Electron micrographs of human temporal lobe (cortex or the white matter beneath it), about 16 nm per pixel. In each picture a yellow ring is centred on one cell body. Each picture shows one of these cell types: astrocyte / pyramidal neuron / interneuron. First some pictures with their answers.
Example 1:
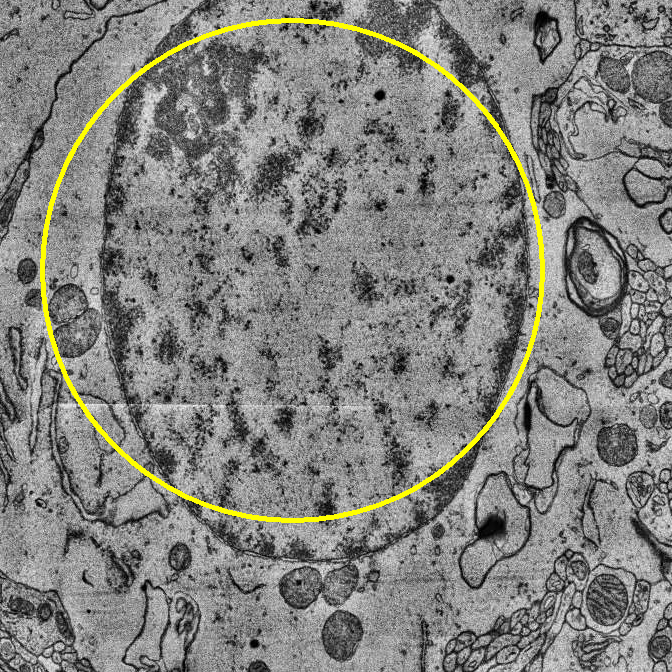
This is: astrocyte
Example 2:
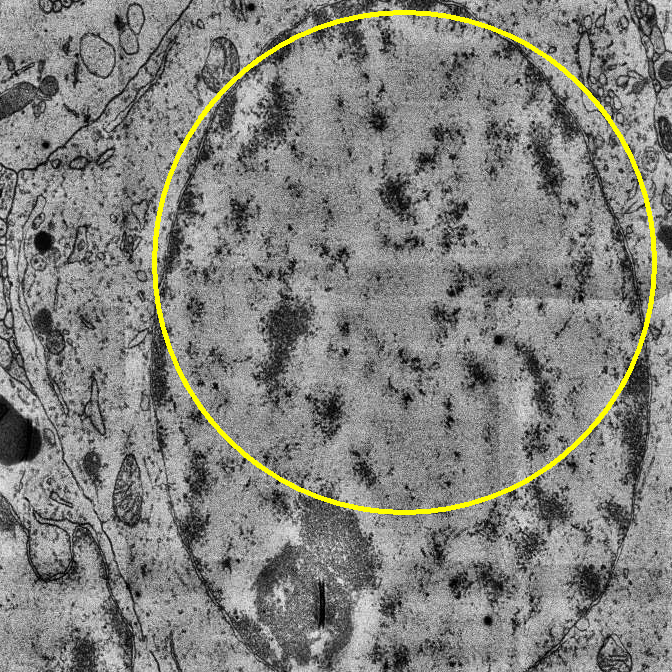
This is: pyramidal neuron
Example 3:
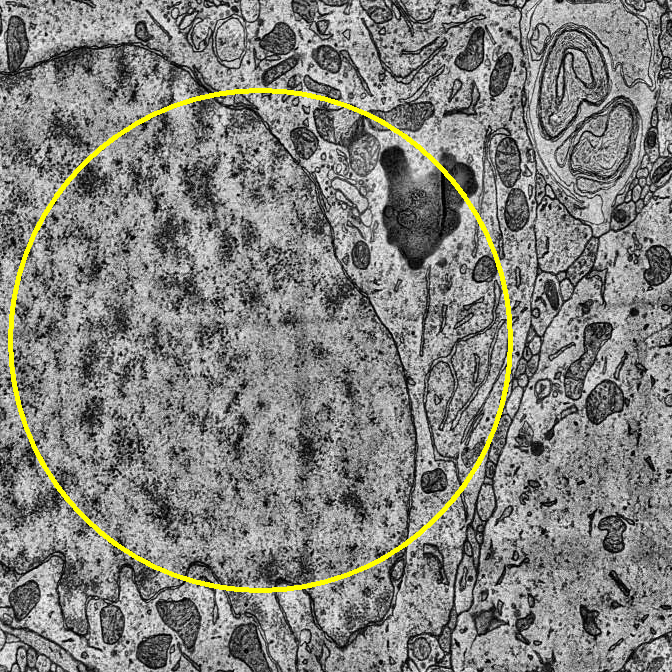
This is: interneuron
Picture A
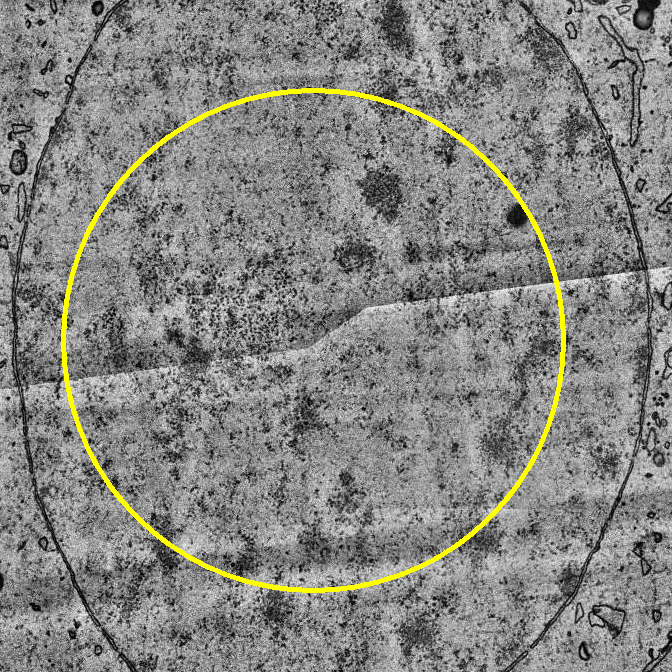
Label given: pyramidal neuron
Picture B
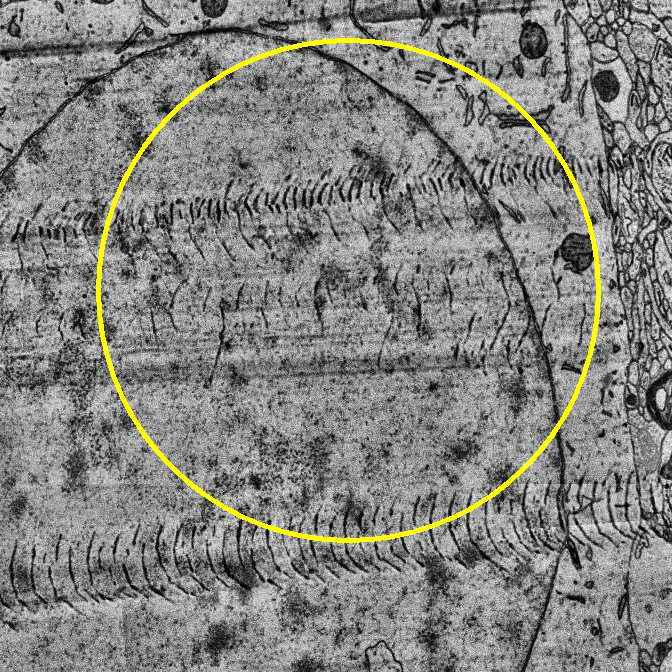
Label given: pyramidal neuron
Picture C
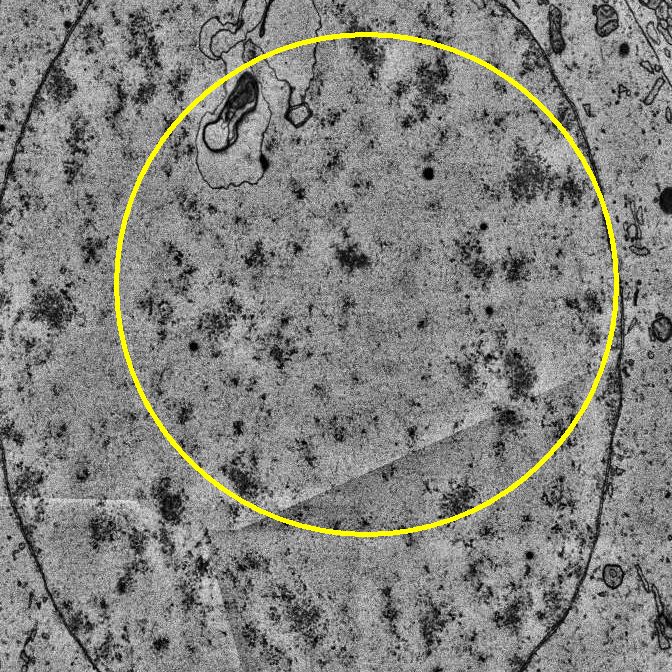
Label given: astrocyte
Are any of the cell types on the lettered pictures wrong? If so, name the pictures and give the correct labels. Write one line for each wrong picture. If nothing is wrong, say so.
C is labelled astrocyte; correct label: pyramidal neuron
